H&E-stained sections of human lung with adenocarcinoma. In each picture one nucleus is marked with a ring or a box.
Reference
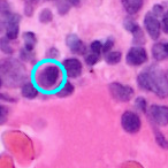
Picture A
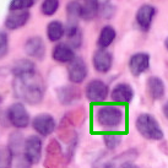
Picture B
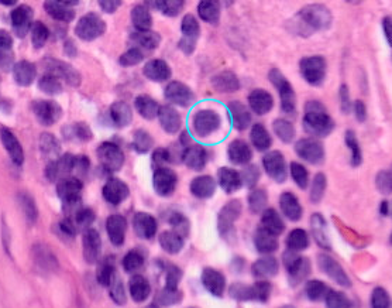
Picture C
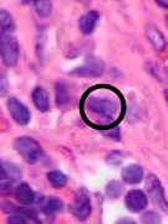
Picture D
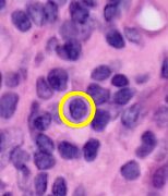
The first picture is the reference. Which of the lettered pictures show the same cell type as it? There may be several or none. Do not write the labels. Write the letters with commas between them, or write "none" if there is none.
A, B, D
